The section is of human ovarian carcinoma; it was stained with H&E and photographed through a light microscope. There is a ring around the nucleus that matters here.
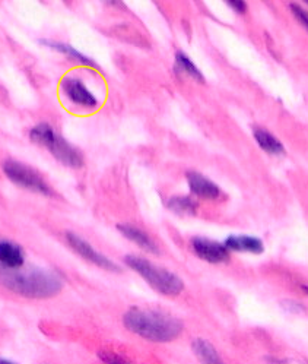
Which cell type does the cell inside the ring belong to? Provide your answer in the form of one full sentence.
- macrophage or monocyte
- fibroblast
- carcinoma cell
Students should answer that the cell inside the ring is a fibroblast.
